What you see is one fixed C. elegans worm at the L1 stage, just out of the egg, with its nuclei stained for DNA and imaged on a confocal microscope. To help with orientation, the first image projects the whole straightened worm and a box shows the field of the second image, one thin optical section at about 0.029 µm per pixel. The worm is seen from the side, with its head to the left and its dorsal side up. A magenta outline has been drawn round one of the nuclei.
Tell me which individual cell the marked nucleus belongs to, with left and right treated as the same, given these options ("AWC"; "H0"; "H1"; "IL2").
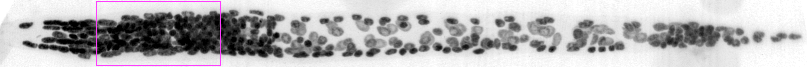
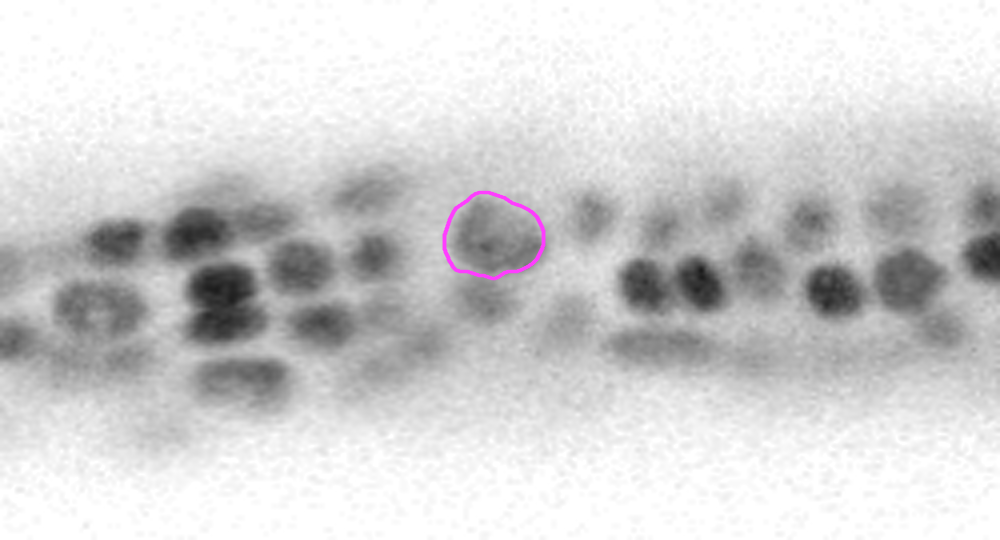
H1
